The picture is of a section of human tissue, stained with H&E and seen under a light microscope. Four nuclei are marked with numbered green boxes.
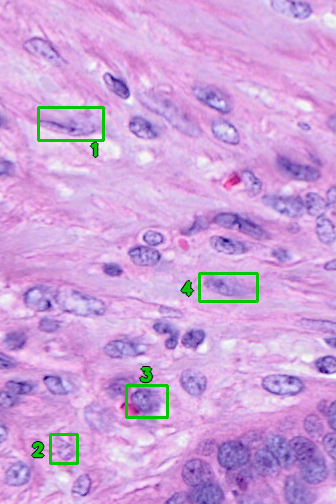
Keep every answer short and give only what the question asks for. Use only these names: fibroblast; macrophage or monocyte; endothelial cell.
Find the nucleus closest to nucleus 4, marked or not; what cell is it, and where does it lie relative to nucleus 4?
a macrophage or monocyte above nucleus 4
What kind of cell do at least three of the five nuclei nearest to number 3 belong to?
fibroblast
